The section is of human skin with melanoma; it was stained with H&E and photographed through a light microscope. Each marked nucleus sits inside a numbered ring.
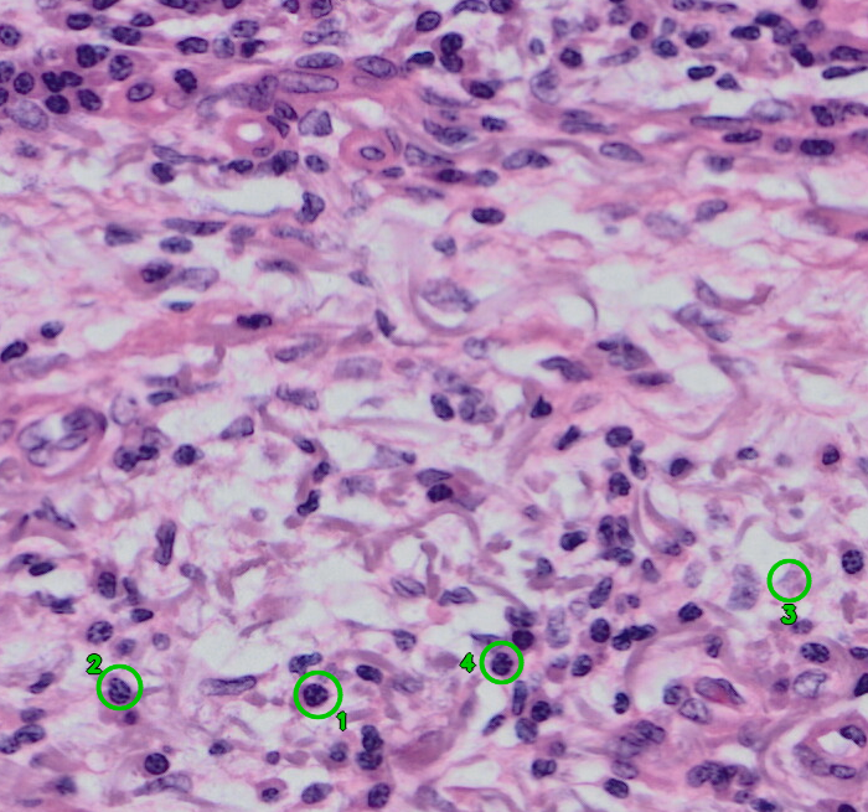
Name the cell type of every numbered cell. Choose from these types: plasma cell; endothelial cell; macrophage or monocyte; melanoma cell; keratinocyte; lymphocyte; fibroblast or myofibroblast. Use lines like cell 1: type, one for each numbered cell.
cell 1: plasma cell
cell 2: plasma cell
cell 3: fibroblast or myofibroblast
cell 4: plasma cell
